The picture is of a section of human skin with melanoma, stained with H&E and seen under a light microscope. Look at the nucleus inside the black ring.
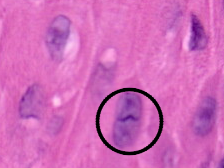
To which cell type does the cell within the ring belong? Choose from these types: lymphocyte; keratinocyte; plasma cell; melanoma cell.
keratinocyte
